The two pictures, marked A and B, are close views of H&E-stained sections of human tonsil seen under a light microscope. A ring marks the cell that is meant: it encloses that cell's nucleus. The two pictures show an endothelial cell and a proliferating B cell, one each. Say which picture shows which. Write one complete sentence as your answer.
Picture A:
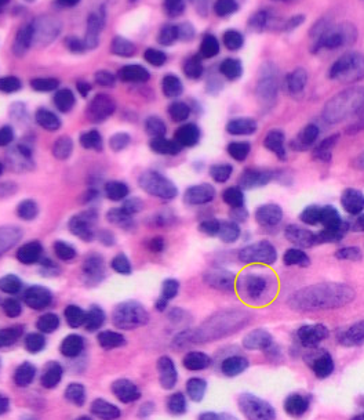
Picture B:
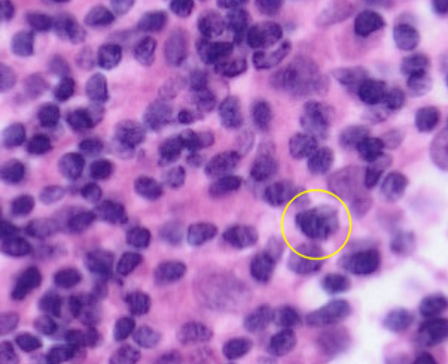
The cell in picture A is an endothelial cell, and the one in picture B is a proliferating B cell.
